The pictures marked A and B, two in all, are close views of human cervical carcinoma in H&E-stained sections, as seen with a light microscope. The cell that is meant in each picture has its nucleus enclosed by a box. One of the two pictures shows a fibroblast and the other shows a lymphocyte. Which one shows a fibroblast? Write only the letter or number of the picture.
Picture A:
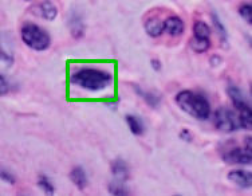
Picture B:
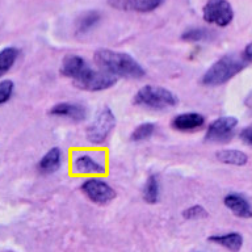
B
